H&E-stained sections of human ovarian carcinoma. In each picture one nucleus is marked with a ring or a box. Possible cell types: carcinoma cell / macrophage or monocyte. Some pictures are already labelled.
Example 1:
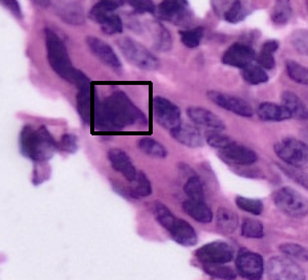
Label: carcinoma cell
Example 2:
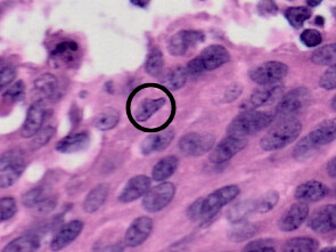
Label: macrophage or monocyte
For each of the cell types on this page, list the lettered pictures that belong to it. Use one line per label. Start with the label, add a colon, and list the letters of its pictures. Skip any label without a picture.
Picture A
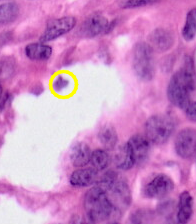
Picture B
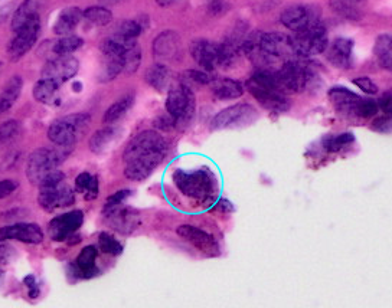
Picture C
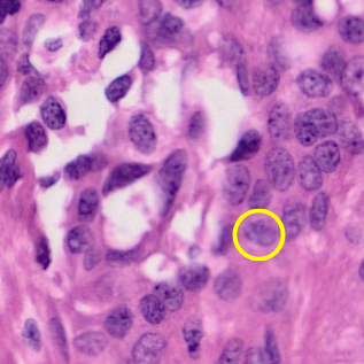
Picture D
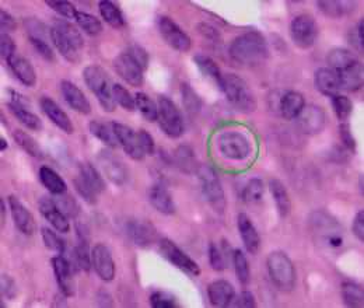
carcinoma cell: A, B, C
macrophage or monocyte: D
